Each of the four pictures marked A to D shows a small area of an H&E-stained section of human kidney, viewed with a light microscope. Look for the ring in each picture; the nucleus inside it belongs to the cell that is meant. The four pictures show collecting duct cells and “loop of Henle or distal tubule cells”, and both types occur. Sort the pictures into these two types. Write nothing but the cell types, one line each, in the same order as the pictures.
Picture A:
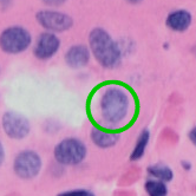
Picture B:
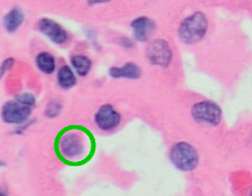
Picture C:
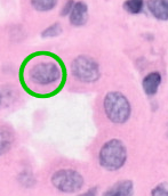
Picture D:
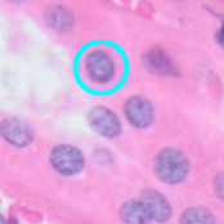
collecting duct cell
loop of Henle or distal tubule cell
loop of Henle or distal tubule cell
loop of Henle or distal tubule cell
